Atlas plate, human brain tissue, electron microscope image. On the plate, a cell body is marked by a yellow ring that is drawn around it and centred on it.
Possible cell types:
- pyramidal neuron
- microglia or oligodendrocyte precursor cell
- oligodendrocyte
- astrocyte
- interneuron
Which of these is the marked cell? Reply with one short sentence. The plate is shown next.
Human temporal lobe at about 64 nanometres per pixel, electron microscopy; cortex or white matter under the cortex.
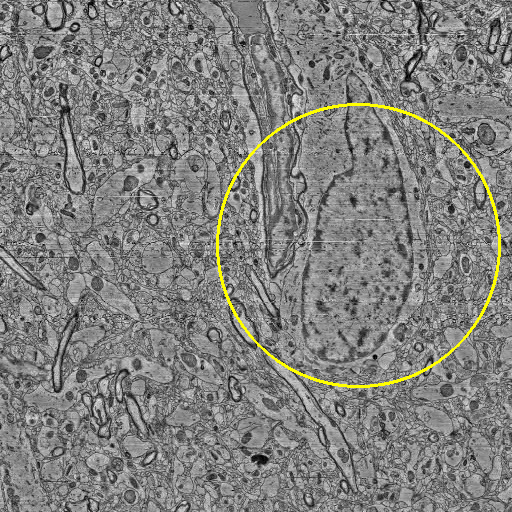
The marked cell is a microglial cell or oligodendrocyte precursor cell.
